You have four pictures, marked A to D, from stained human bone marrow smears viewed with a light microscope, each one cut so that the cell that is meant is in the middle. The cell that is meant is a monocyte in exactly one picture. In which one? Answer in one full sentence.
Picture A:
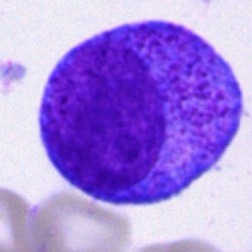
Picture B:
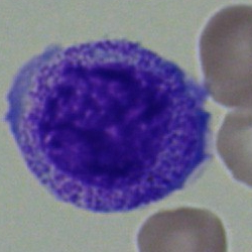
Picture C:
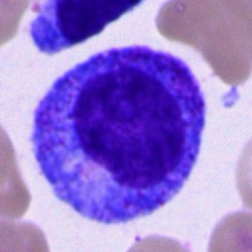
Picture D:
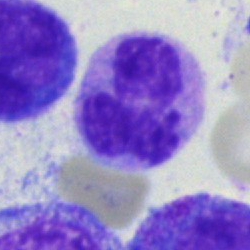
Picture D shows the monocyte.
